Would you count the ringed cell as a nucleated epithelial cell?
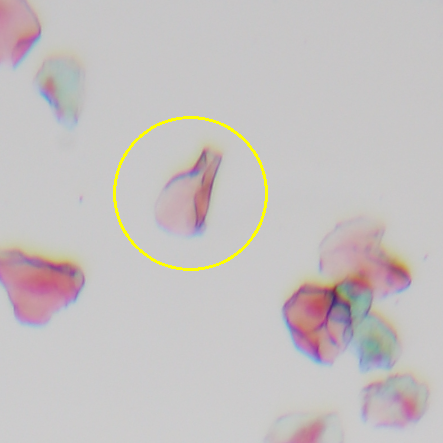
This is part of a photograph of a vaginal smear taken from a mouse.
No, I would count it as a cornified epithelial cell.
